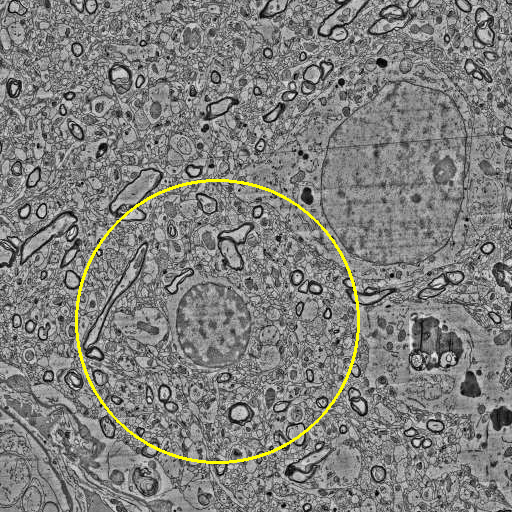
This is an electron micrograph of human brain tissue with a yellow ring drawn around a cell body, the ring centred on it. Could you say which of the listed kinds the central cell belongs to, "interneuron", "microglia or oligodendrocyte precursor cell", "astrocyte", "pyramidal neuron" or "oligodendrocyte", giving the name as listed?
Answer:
oligodendrocyte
